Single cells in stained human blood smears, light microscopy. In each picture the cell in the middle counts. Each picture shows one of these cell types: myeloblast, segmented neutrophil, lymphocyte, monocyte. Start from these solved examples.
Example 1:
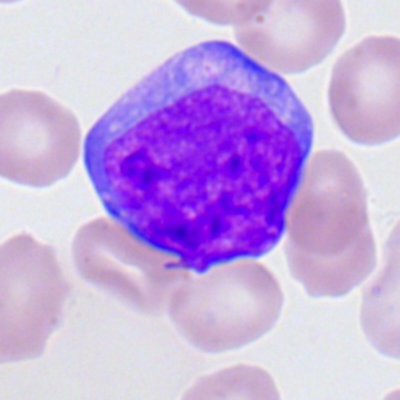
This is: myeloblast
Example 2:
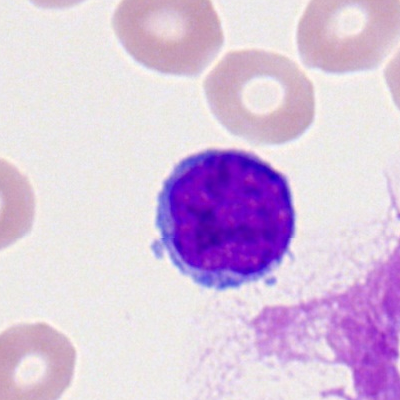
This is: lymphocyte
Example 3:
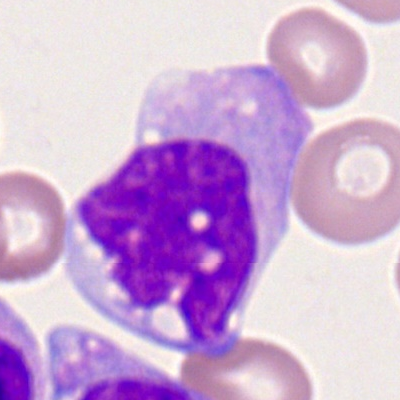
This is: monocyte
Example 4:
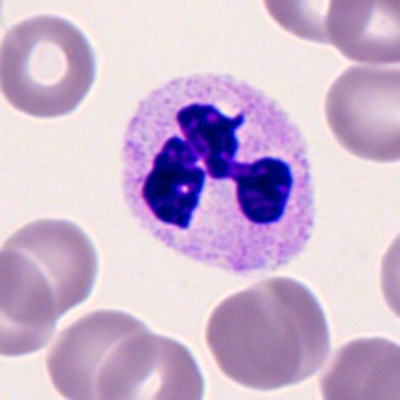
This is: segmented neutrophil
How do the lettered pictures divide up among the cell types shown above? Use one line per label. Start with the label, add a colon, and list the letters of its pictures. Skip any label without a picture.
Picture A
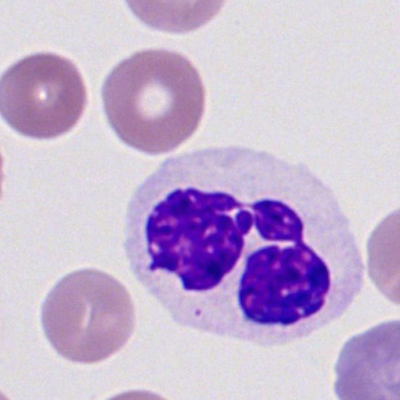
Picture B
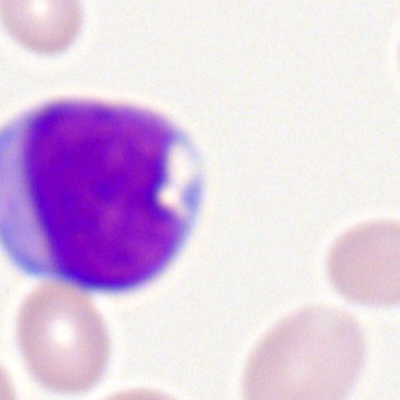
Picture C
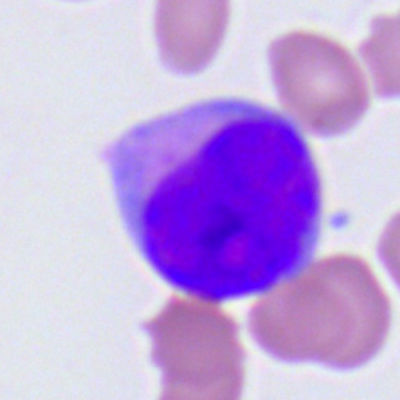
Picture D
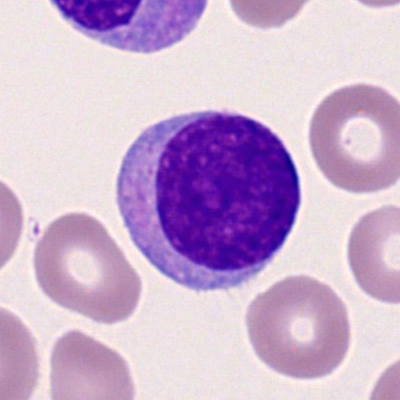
myeloblast: B, C, D
segmented neutrophil: A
